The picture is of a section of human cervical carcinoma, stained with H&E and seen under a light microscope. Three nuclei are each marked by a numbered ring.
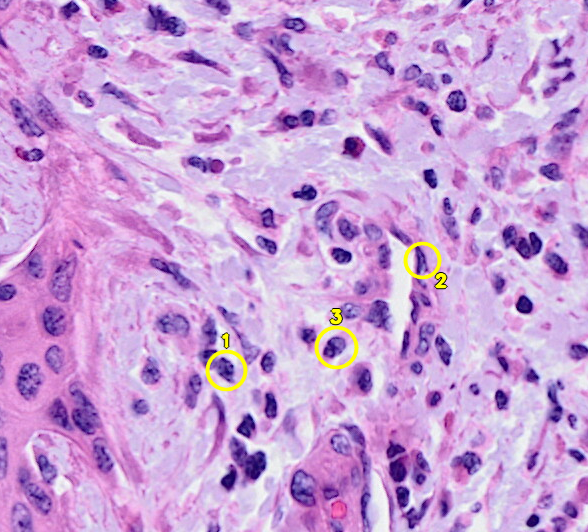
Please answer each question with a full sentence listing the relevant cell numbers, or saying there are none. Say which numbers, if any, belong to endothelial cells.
Only one choice fits: cell 2 is an endothelial cell, and no other.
